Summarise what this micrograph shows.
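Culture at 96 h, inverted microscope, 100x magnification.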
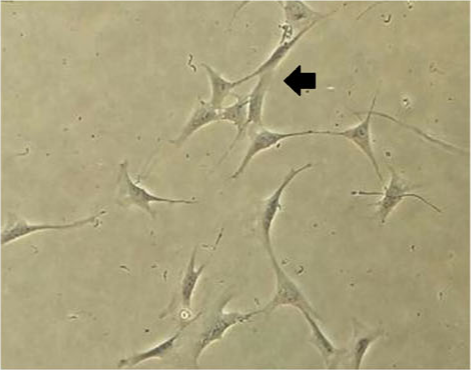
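The cells are flattened and polygonal to spindle-shaped, each with a central nucleus and long, slender cytoplasmic processes. Processes of neighbouring cells extend toward and contact one another, forming a loose network, while open surface still remains between the cells.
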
